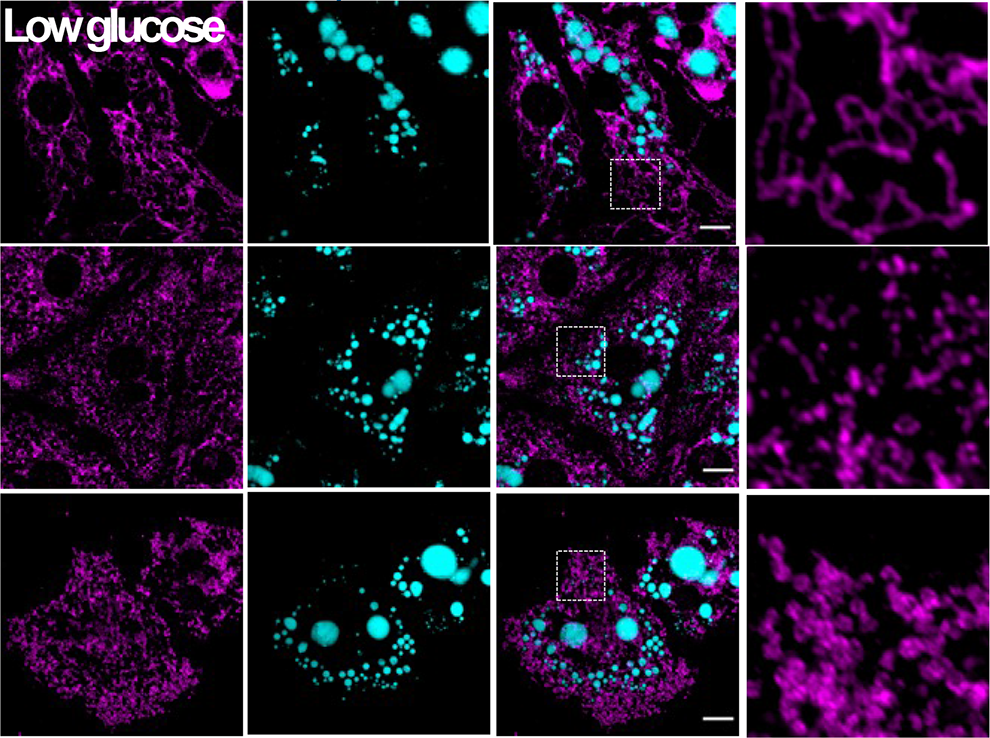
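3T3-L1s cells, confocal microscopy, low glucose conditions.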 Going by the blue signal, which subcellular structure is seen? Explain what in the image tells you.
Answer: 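Blue signal forms round droplets, some large. Droplets sit in the cytoplasm among purple threads.
Conclusion: neutral lipids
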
